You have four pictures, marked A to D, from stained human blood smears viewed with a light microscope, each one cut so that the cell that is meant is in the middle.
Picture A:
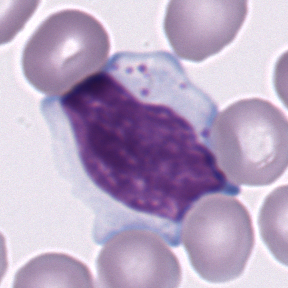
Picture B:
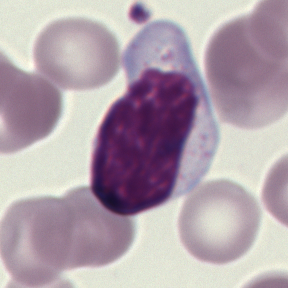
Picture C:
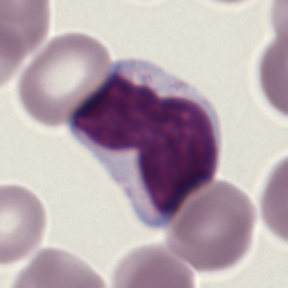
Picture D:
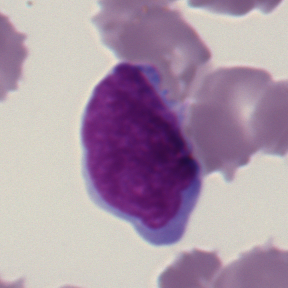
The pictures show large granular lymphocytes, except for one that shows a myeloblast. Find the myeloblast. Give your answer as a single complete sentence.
Picture D shows the myeloblast.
